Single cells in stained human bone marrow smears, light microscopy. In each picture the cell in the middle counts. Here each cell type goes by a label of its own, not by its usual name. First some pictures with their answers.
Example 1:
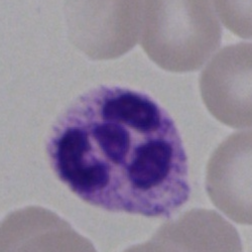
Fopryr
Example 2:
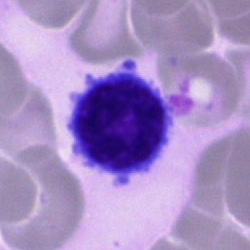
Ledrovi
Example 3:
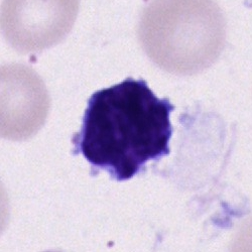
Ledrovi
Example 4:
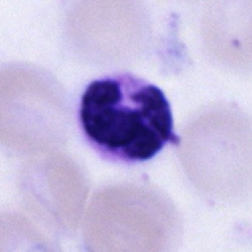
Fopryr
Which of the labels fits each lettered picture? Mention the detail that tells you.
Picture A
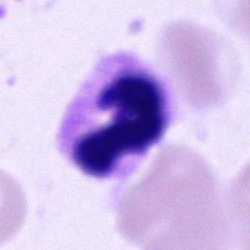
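Fopryr: The cytoplasm is pale pinkish-lilac and fairly plentiful, widest on the upper left side of the cell.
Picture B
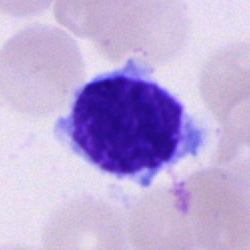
Ledrovi: The cytoplasm is scant and pale blue, forming only a narrow rim around the nucleus.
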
